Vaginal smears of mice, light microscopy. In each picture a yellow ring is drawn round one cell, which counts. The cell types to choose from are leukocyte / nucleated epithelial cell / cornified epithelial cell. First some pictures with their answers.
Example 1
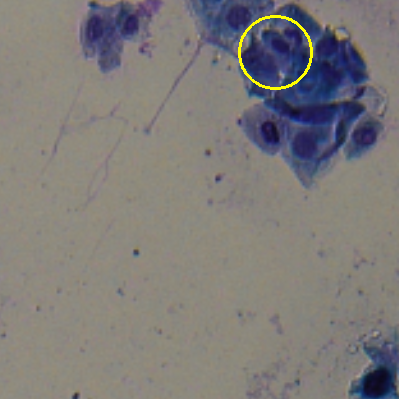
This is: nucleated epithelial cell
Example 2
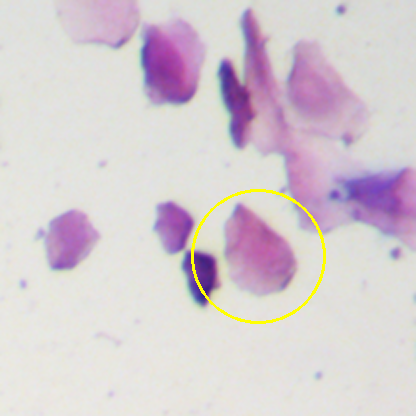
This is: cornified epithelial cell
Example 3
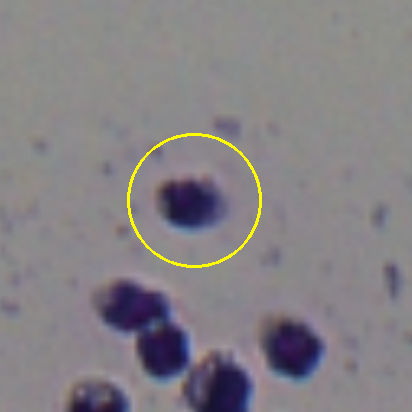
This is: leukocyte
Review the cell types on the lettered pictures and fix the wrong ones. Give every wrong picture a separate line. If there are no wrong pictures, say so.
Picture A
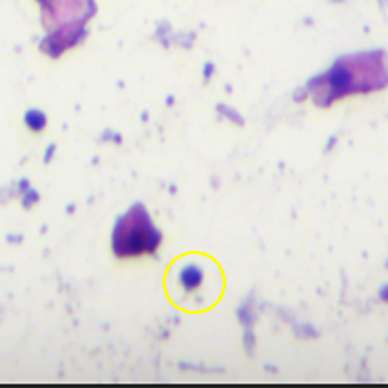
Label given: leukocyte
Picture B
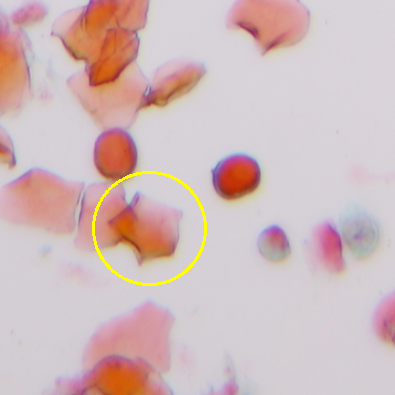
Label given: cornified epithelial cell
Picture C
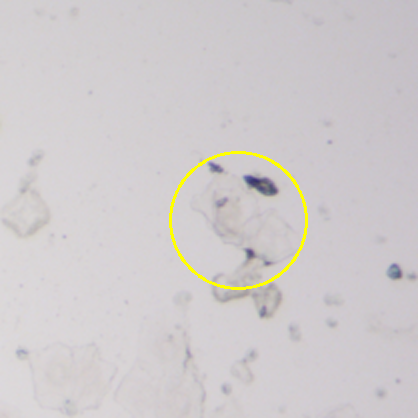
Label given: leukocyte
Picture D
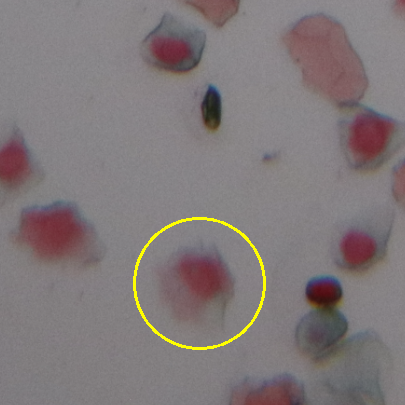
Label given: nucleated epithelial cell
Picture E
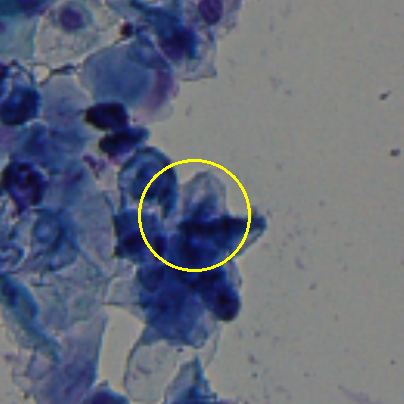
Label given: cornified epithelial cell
C: change leukocyte to cornified epithelial cell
